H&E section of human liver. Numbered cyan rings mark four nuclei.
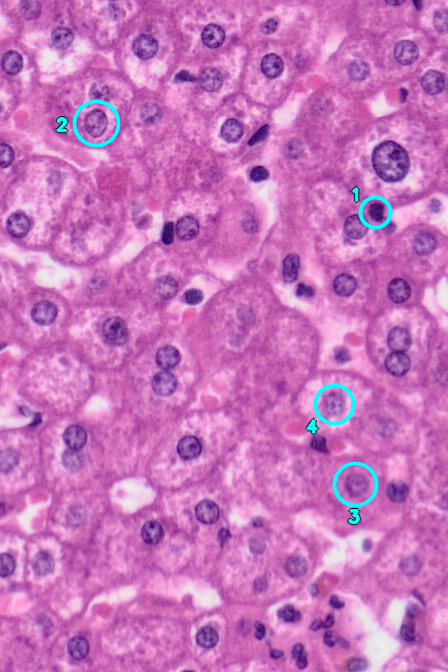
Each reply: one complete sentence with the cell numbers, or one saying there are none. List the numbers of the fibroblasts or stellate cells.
Only the cell with number 1 is a fibroblast or stellate cell.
